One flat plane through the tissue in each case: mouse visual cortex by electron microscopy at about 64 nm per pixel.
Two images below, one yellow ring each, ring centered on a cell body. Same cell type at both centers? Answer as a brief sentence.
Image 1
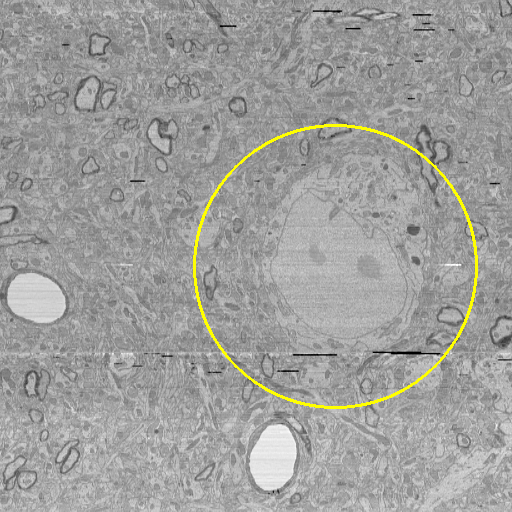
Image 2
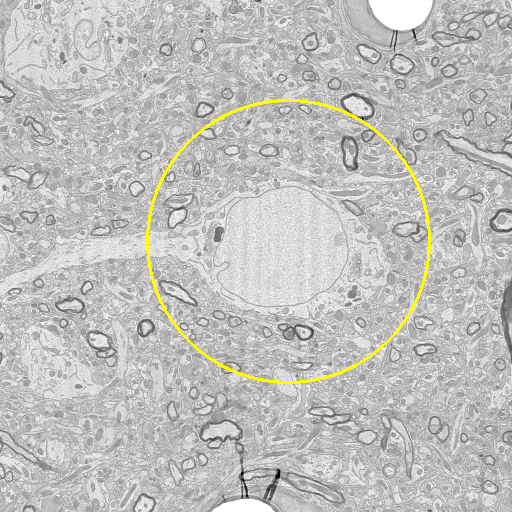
Yes, both cells are of the same type.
